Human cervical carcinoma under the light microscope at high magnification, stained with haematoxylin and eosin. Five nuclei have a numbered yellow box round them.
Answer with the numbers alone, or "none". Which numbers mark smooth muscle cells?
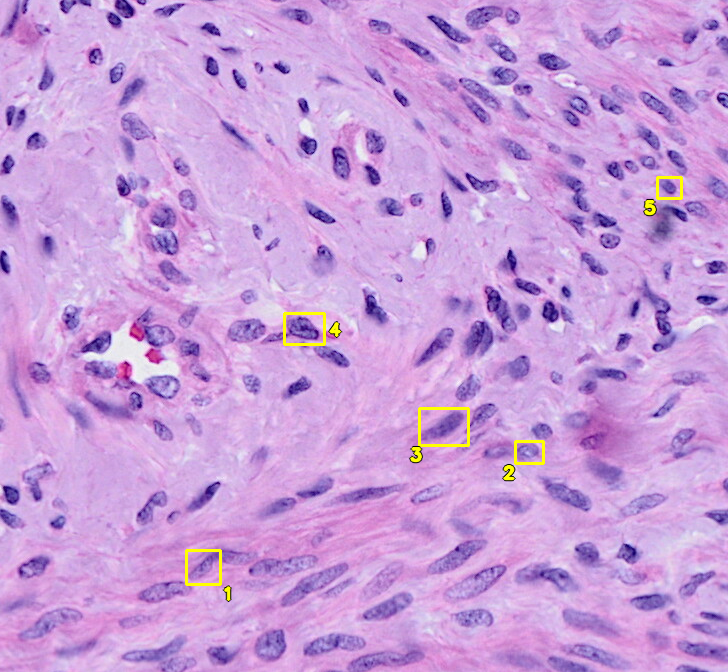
1, 2, 5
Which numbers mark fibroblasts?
3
